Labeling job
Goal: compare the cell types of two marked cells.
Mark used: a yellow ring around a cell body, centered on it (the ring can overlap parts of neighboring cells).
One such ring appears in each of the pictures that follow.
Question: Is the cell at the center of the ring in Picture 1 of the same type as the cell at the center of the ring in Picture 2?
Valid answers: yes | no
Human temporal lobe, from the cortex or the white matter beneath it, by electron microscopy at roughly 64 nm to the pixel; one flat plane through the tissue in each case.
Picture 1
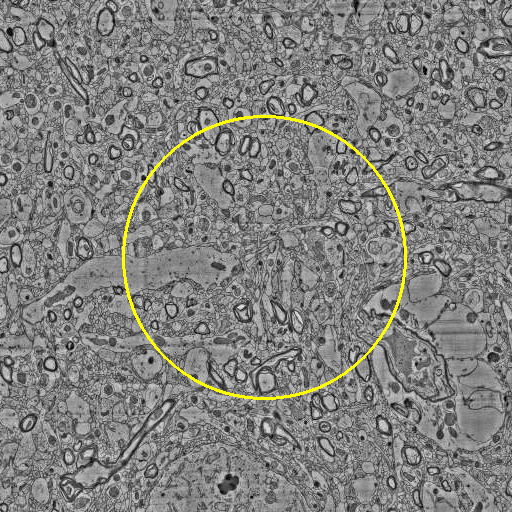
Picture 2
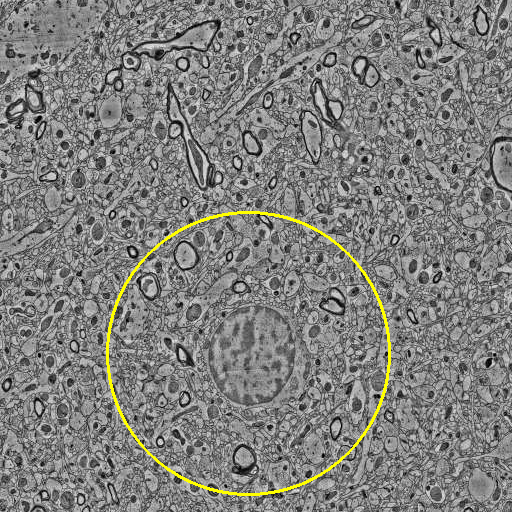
yes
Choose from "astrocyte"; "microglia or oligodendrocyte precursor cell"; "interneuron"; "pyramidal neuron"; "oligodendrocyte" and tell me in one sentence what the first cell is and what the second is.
The second cell is an oligodendrocyte, just as the first is.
